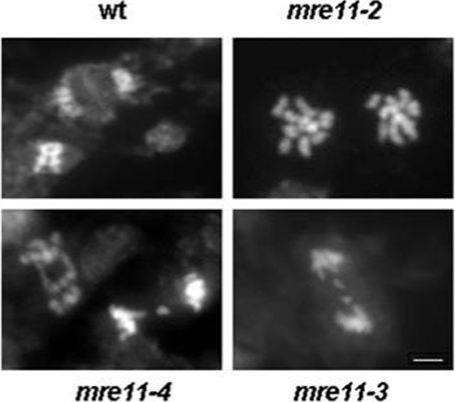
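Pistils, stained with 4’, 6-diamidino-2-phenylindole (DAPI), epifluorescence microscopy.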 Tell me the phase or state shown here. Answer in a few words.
anaphase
